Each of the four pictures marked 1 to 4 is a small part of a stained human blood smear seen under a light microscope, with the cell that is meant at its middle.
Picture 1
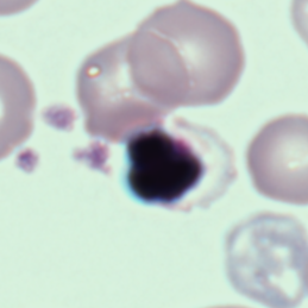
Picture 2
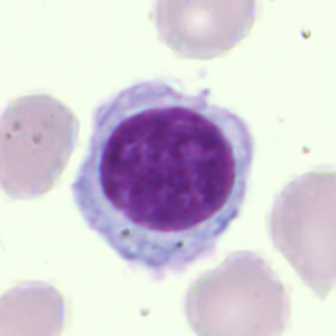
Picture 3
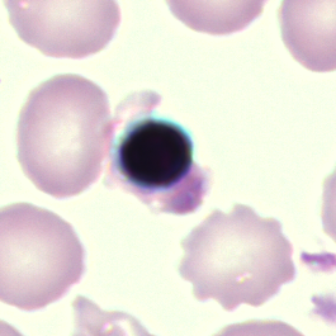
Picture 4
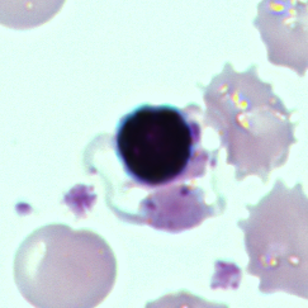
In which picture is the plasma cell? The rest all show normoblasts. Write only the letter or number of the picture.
2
